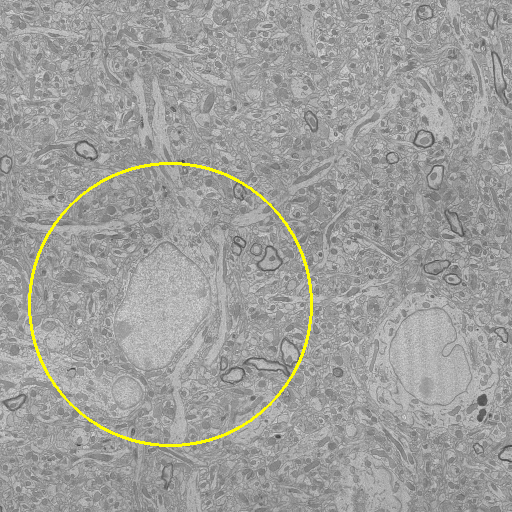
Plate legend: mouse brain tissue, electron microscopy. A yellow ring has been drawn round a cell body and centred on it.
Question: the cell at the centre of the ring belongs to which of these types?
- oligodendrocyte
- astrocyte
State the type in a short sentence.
The cell in the middle of the ring is an astrocyte.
